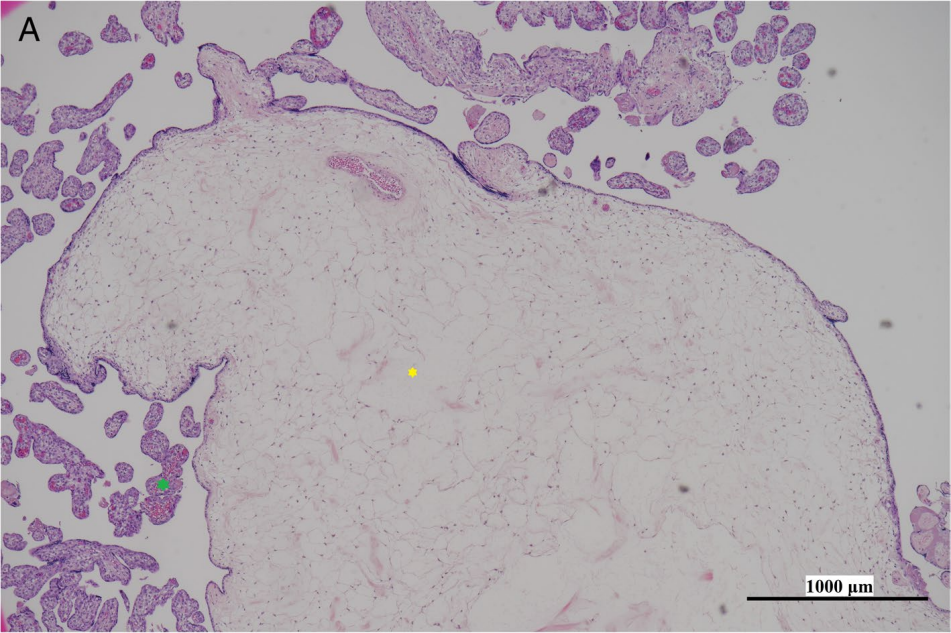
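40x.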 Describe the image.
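This is placental villous tissue dominated by one greatly enlarged villus whose stroma is pale, loose and watery, with scattered small nuclei, fine strands and clear cistern-like spaces. A thin layer of surface cells lines it, and a single small vessel with red cells lies near its upper edge. Around it lie many small distal villi with denser purple stroma and small red-filled capillaries, covered by a thin layer of surface cells without piling up of cells.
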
